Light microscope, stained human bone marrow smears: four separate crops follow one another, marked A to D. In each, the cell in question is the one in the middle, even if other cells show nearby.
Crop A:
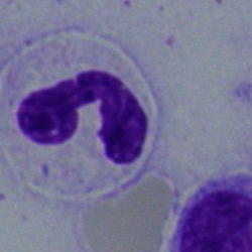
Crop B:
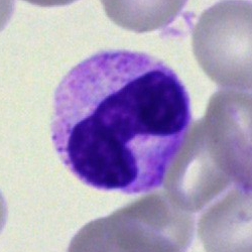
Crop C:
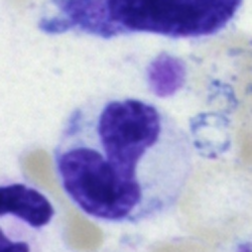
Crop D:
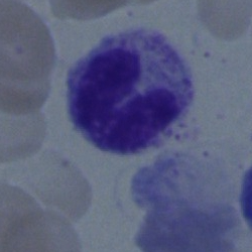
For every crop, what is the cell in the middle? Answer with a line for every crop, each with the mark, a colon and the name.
A: segmented neutrophil
B: band neutrophil
C: band neutrophil
D: band neutrophil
